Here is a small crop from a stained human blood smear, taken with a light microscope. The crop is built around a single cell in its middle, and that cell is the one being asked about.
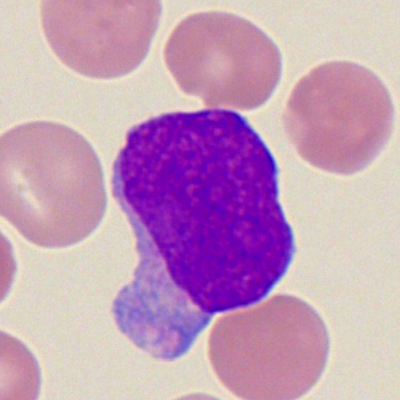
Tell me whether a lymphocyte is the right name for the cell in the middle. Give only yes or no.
no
